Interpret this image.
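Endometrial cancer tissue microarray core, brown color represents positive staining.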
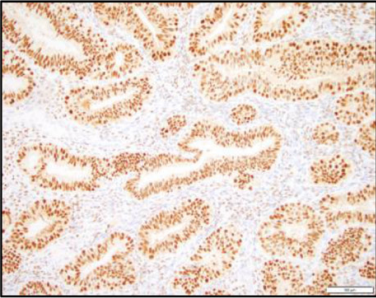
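Irregular, elongated and branching glands are lined by several layers of columnar cells with brown-stained oval nuclei, set in a loose pale-blue stroma. Some stromal nuclei are also faintly brown, but the strongest staining is in the epithelial lining. The glands have open lumens and crowded, piled-up nuclei.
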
